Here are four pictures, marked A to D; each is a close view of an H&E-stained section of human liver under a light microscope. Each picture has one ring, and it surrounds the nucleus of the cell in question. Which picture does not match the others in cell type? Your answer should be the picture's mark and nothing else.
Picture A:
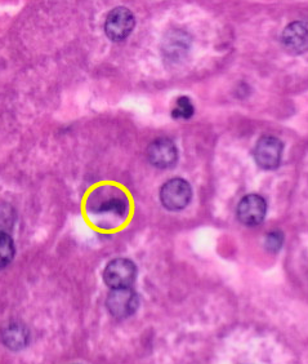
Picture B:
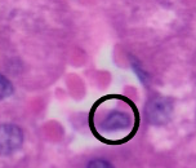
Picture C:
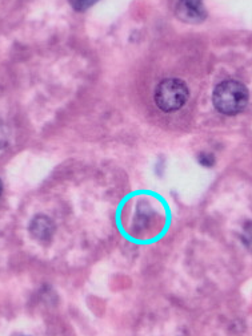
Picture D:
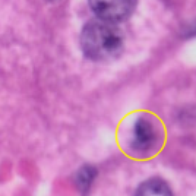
B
